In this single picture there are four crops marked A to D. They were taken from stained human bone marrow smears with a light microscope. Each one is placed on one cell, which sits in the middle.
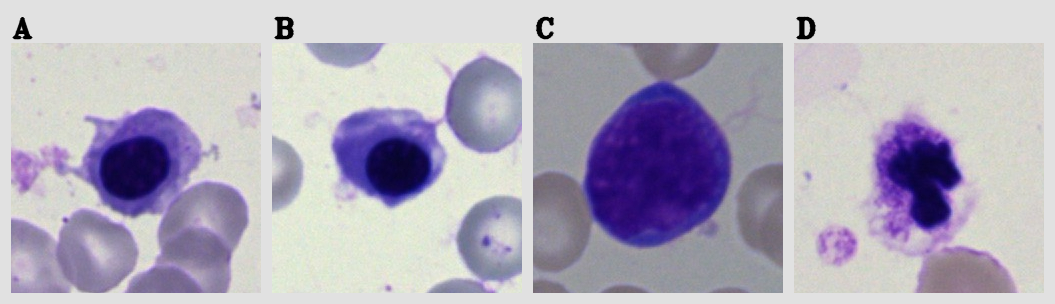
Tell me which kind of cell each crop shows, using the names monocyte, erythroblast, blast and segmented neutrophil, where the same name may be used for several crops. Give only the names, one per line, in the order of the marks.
erythroblast
erythroblast
blast
segmented neutrophil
